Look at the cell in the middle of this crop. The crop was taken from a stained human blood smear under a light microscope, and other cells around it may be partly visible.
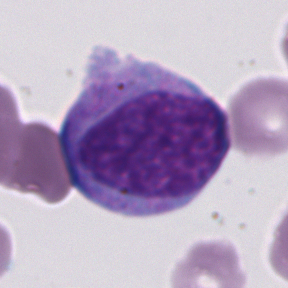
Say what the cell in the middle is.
atypical promyelocyte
